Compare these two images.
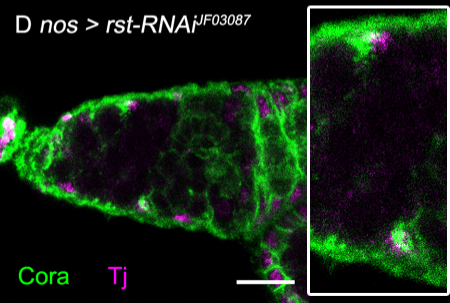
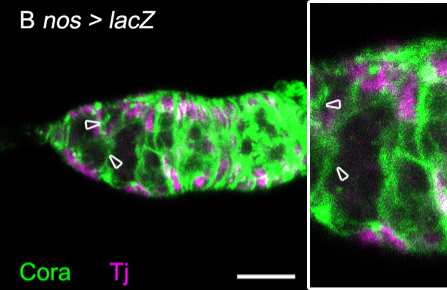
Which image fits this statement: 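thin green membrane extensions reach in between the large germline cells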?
The second image.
